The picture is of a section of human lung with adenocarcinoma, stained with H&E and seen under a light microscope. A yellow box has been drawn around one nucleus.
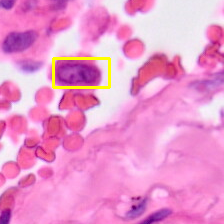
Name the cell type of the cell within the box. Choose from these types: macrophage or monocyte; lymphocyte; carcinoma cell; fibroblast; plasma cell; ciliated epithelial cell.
macrophage or monocyte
